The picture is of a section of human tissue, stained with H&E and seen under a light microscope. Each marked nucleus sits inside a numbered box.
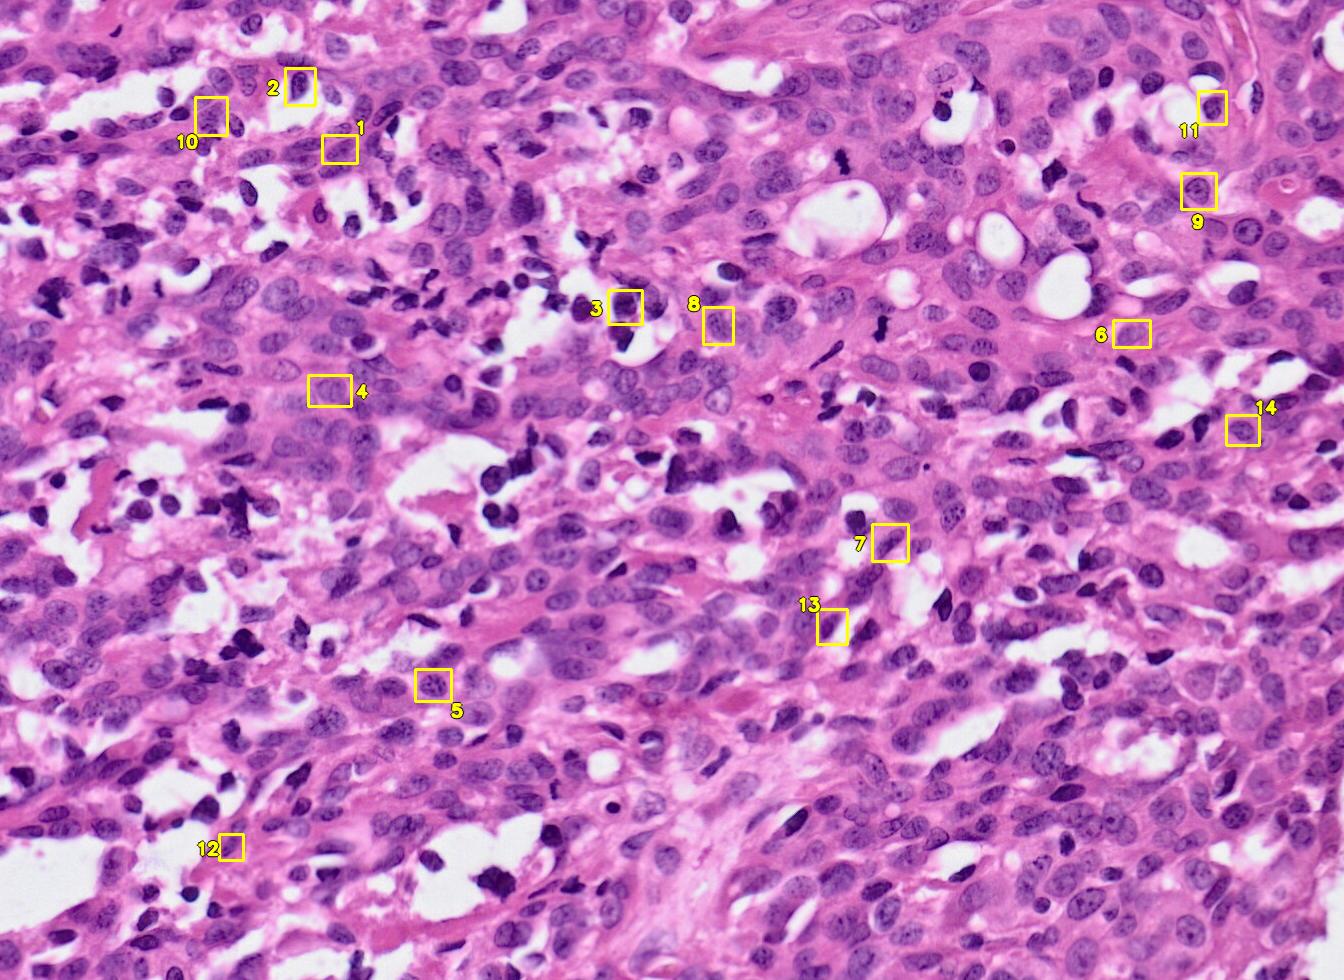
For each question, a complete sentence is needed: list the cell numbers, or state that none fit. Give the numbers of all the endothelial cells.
Cell 12 is an endothelial cell, and it is the only numbered cell that is.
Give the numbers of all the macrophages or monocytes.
So, the cells with numbers 5, 8, 9, 11 and 14 are macrophages or monocytes.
